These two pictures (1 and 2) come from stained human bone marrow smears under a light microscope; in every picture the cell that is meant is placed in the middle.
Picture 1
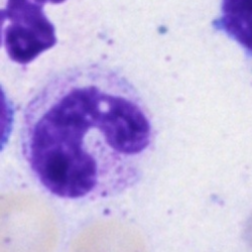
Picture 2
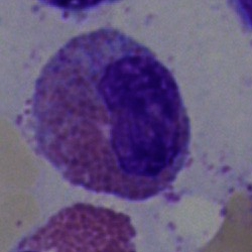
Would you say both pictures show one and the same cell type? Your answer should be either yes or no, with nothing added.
no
